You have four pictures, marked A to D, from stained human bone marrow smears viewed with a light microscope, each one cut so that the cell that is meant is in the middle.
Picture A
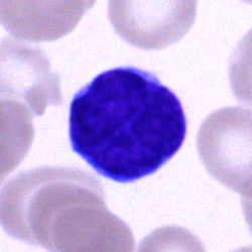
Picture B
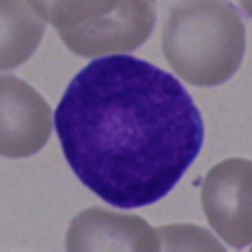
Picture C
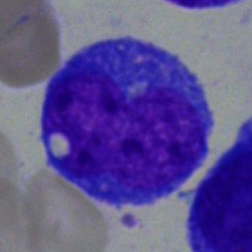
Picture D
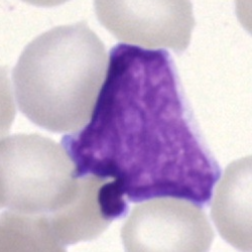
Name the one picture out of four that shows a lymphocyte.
A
